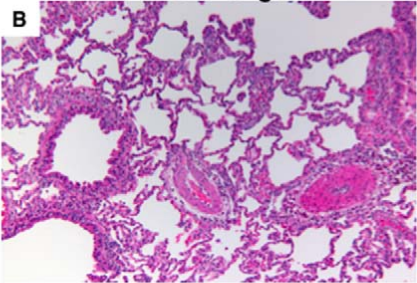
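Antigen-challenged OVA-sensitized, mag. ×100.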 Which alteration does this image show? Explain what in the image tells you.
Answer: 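Patchy foci of inflammatory cell infiltration. Dense clusters of small dark purple nuclei collect around the airway and the vessel. Alveolar walls are thickened and crowded with nuclei in patches.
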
